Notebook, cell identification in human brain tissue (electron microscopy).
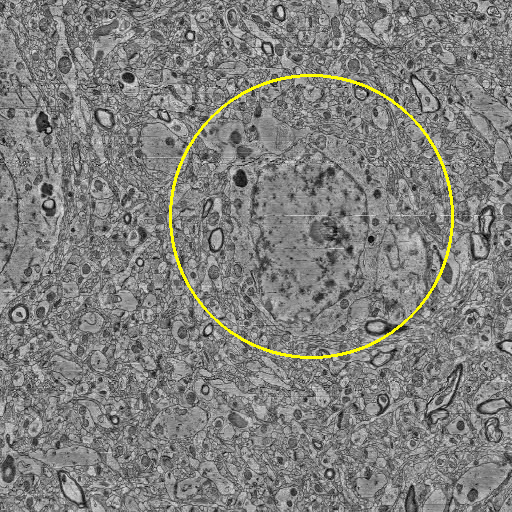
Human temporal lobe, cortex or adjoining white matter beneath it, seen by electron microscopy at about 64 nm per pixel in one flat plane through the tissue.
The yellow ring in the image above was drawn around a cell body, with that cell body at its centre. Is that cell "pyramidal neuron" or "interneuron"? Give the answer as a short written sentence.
The cell in the ring is an interneuron.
